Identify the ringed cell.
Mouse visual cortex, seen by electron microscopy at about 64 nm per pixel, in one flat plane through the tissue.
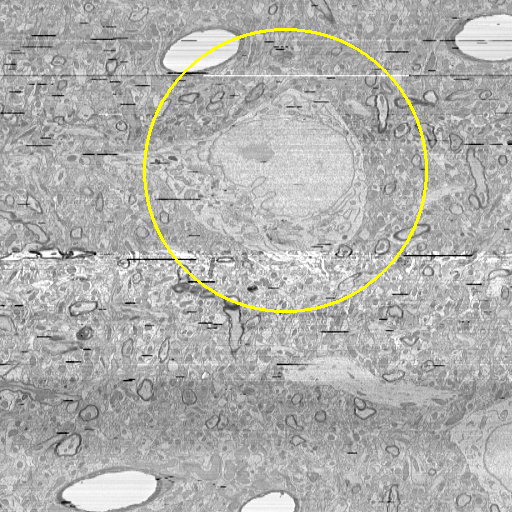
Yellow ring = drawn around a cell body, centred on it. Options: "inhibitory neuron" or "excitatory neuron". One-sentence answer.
What the ring is centred on is an inhibitory neuron.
